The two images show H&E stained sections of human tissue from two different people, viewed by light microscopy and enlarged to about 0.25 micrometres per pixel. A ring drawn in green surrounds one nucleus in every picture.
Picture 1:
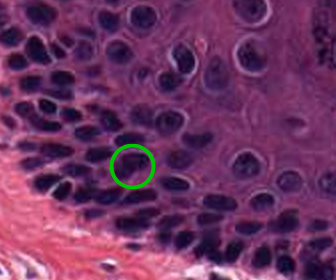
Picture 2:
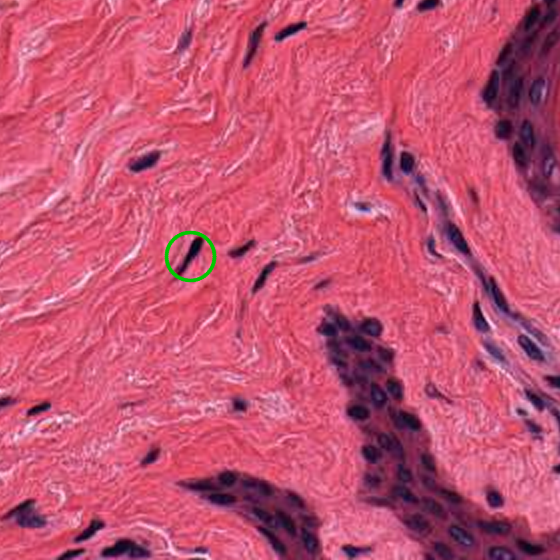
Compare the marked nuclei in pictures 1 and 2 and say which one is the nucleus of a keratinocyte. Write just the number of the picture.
1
